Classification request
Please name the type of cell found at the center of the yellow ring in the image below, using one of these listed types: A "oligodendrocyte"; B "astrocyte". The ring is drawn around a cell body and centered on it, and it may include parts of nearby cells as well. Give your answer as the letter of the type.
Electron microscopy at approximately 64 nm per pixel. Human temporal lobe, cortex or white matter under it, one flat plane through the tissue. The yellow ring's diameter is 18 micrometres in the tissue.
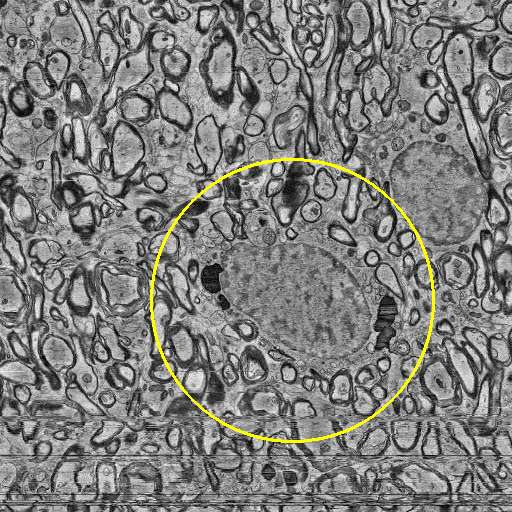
A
